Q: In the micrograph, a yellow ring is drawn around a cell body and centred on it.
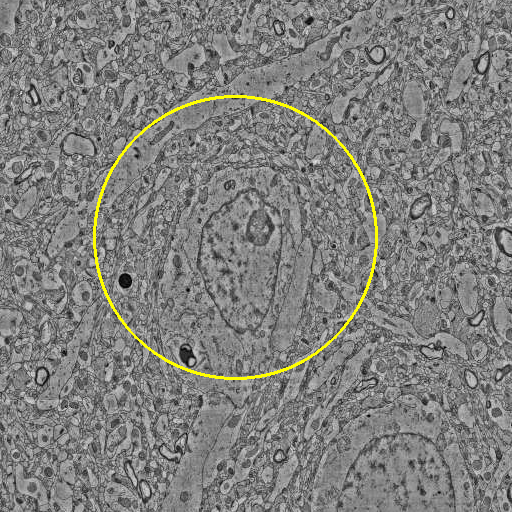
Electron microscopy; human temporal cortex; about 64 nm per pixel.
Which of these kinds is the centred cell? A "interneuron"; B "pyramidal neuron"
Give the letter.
B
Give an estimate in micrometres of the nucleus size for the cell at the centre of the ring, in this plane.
About 9 by 5 micrometers in this plane, so the nucleus is clearly longer than it is wide.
